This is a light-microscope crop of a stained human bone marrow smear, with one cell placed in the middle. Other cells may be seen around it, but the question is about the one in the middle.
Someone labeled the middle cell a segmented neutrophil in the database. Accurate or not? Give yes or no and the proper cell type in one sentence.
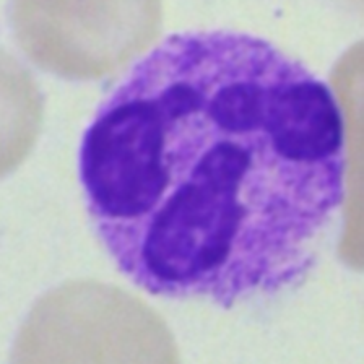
Yes, the cell that is in the middle is a segmented neutrophil.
